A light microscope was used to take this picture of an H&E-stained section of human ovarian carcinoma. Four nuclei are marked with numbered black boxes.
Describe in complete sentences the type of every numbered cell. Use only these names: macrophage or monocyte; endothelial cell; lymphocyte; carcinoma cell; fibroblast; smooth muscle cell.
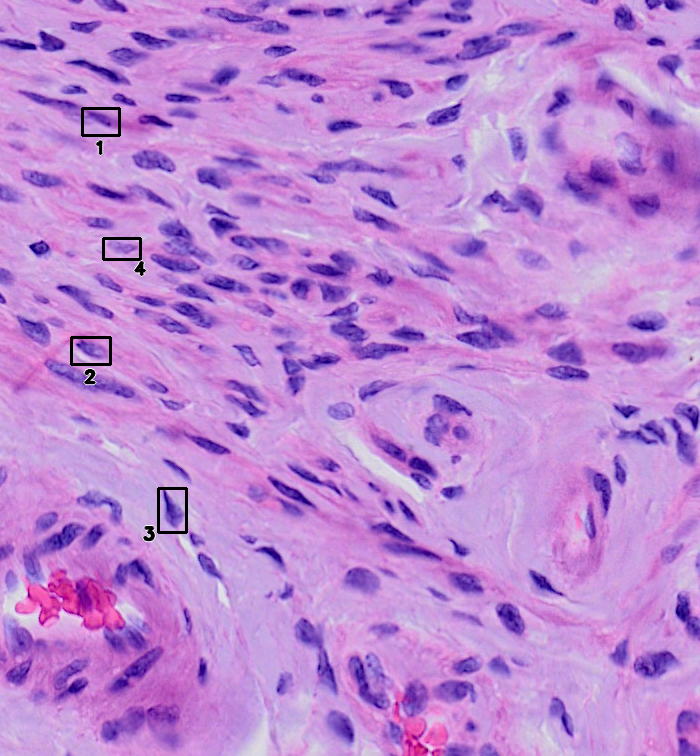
Cells 1, 2 and 4 are smooth muscle cells. Cell 3 is a fibroblast.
